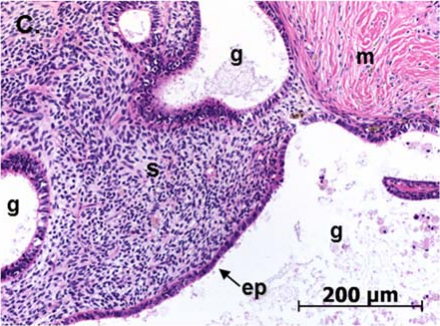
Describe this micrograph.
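Endometrial tissue with a cellular stroma packed with small spindle-shaped, fibroblast-like cells whose dark purple nuclei lie close together with little pale cytoplasm between them. Several glandular spaces open into the tissue, each lined by a continuous dark purple epithelium of tall cuboidal to columnar cells with crowded, elongated nuclei. Some of the spaces hold pale, loose material. In the upper right lies a block of pink, eosin-rich smooth muscle with long fibres, the myometrium, bordering the stroma. This looks like proliferative-type endometrium, with dense stroma and tall glandular epithelium.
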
